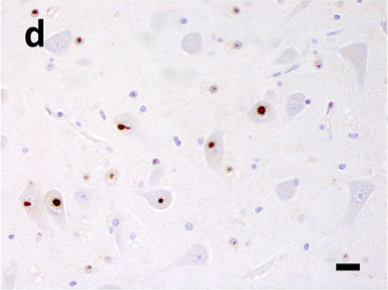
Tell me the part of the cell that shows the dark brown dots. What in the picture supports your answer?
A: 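Intranuclear inclusions. Small round dark brown dots sit inside nuclei. Many dots lie in nuclei of large angular cell bodies.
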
